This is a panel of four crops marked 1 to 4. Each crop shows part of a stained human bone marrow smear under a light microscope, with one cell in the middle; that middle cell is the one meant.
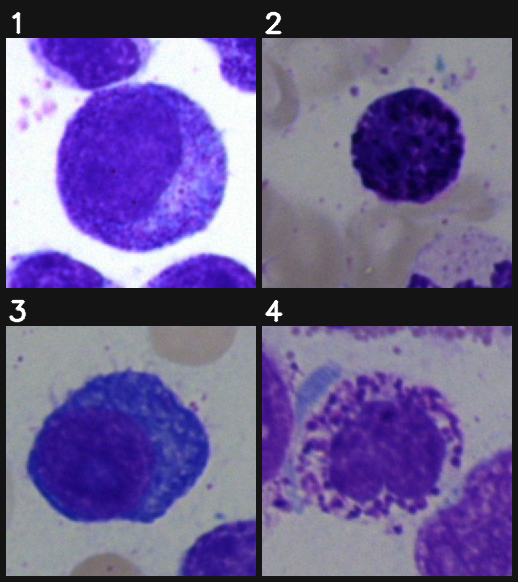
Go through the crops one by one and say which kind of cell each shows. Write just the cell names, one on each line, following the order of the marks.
myelocyte
basophil
plasma cell
basophil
